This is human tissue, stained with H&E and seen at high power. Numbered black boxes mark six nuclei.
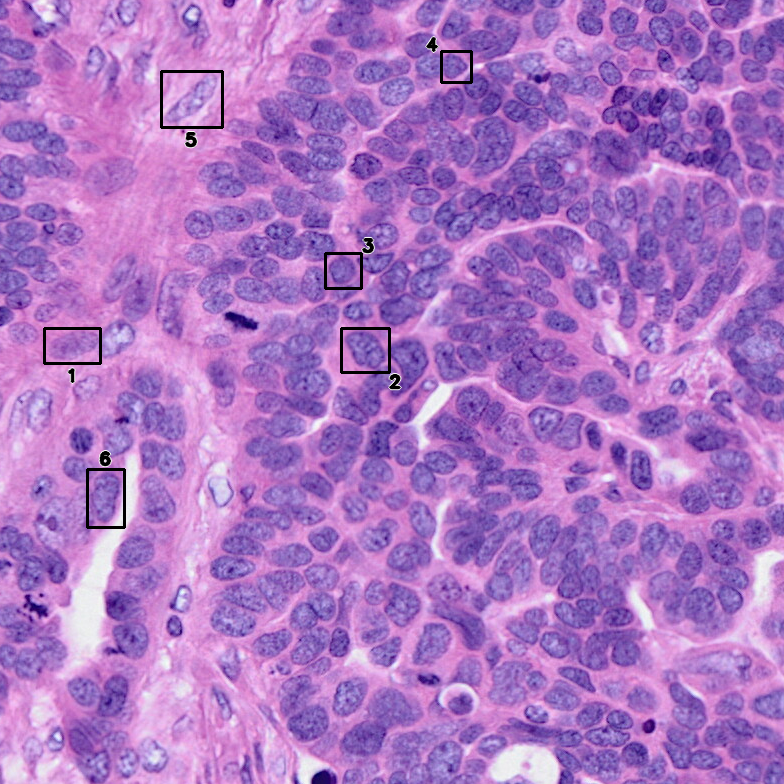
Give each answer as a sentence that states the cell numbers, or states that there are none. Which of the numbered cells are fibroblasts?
The cells labelled 1 and 5 in this section are fibroblasts.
